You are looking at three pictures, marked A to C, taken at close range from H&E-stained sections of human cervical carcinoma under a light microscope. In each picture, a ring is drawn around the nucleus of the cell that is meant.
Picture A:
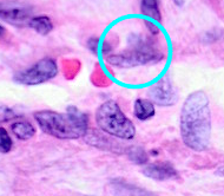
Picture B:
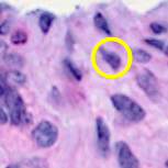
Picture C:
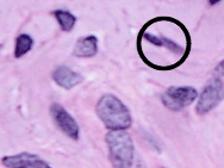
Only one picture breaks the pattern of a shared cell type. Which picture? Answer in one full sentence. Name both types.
The others show fibroblasts, but picture A shows an endothelial cell.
